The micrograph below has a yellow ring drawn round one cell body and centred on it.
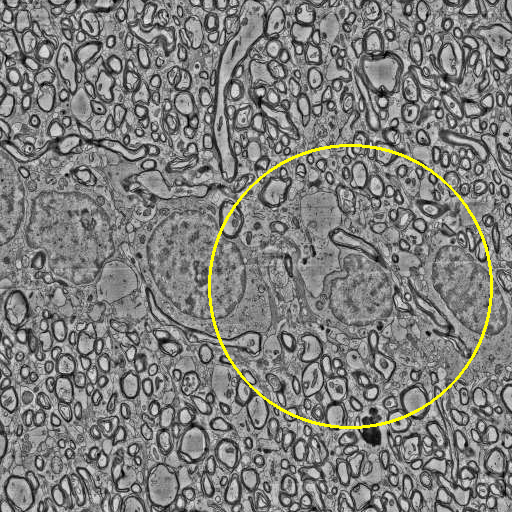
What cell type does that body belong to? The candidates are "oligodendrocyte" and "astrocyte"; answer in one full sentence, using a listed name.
This is an oligodendrocyte, the cell whose body lies at the centre of the ring.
